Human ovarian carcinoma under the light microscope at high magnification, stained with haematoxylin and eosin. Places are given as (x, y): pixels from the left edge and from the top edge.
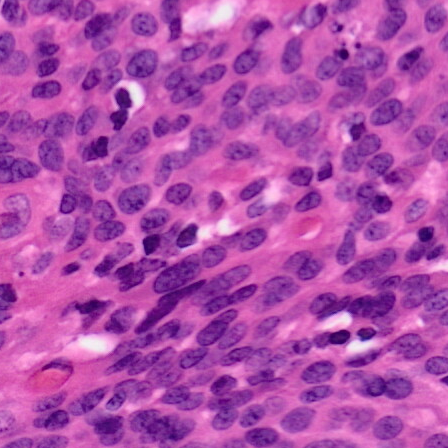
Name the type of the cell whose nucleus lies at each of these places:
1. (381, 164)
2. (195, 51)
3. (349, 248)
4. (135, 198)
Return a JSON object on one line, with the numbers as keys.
{"1": "carcinoma cell", "2": "carcinoma cell", "3": "macrophage or monocyte", "4": "carcinoma cell"}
